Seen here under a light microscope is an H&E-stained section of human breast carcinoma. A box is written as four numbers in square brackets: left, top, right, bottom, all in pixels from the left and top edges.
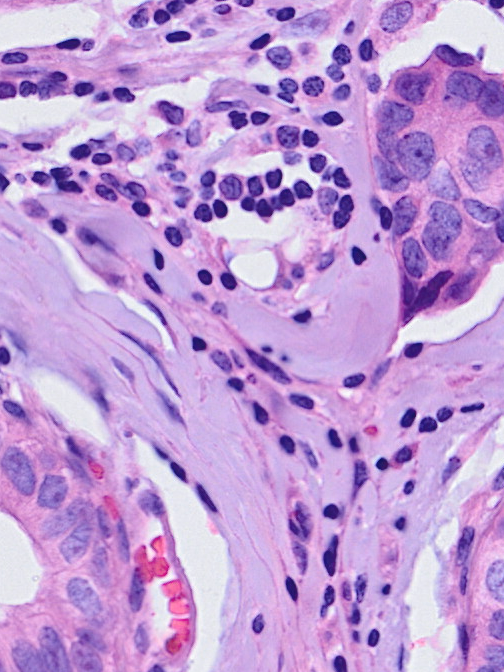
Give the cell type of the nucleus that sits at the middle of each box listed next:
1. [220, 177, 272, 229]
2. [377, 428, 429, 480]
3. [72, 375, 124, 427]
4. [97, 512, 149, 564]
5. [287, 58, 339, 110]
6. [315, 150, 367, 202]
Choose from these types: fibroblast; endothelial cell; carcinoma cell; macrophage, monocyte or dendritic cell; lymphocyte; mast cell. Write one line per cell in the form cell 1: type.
cell 1: lymphocyte
cell 2: mast cell
cell 3: fibroblast
cell 4: endothelial cell
cell 5: mast cell
cell 6: lymphocyte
